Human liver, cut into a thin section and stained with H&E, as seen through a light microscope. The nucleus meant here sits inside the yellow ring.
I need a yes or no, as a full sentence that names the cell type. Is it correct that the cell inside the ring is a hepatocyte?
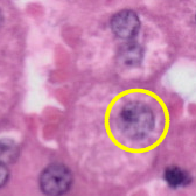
Yes, the claim that the cell inside the ring is a hepatocyte holds true.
